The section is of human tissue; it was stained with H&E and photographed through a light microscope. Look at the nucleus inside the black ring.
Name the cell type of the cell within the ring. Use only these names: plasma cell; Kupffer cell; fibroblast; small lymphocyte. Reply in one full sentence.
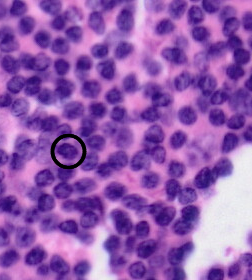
Among the cells in this section, the cell within the ring is a small lymphocyte.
